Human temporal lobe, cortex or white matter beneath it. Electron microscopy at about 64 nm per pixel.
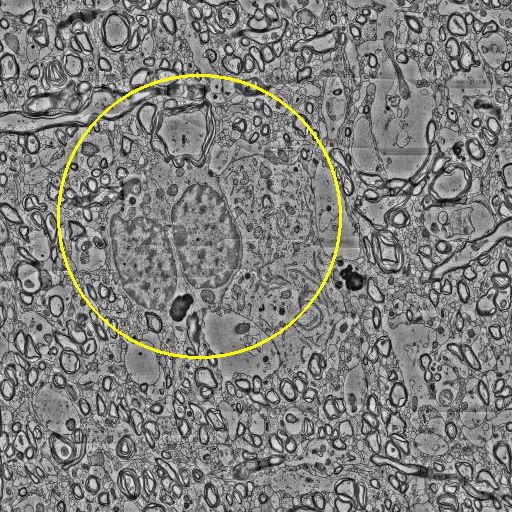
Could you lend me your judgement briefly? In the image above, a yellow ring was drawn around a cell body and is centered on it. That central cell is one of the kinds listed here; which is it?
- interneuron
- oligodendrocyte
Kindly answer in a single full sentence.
Going by the list, an oligodendrocyte is the kind at the ring's center in the picture.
